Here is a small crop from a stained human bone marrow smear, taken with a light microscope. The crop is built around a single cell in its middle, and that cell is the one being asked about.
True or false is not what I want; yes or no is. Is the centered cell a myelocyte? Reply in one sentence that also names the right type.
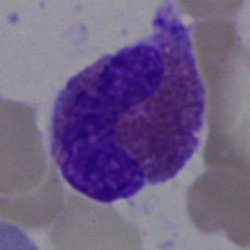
No, the central cell is properly termed an eosinophil, not a myelocyte.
